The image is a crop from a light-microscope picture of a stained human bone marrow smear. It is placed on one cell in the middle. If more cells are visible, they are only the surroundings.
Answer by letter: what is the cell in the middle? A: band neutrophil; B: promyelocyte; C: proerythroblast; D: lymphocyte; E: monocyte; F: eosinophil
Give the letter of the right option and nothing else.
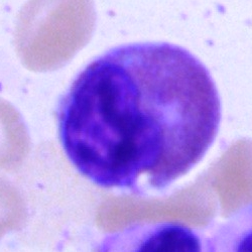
F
